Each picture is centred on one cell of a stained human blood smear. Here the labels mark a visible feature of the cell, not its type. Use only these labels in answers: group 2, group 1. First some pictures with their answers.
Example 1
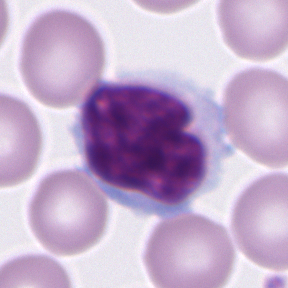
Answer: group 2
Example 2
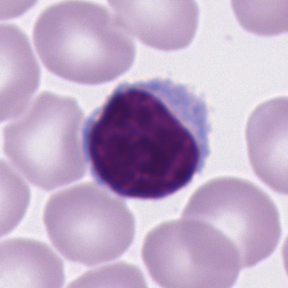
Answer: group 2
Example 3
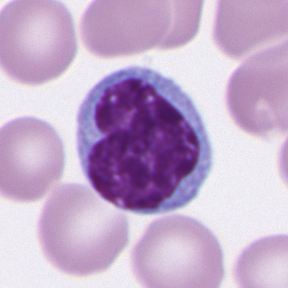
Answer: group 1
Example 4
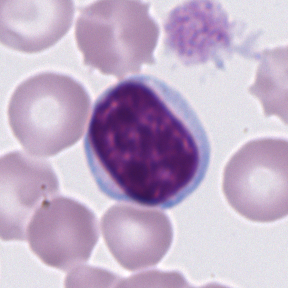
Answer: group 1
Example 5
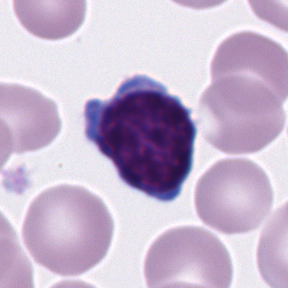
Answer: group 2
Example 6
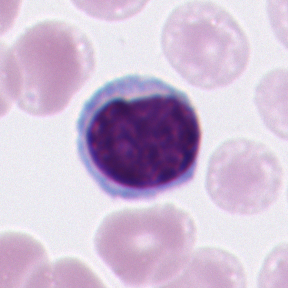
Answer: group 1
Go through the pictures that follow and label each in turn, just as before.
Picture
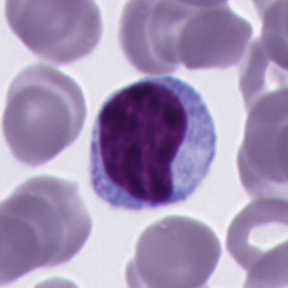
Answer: group 1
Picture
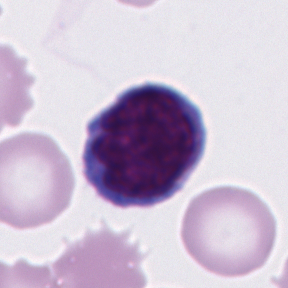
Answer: group 1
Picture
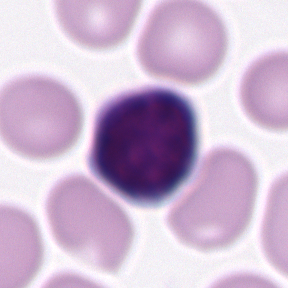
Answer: group 1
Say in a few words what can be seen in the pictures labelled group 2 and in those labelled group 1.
group 2, ragged outline or projections; group 1, smooth outline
